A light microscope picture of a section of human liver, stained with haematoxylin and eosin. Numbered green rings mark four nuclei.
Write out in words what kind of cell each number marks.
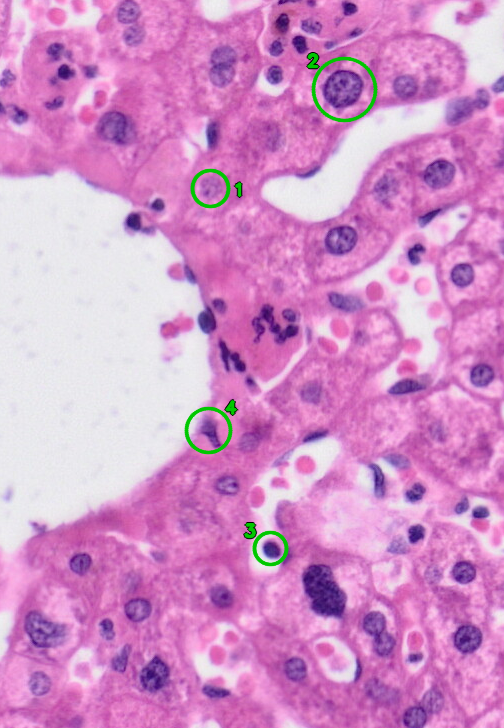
Cells 1 and 2 are hepatocytes. Cell 3 is a lymphocyte. Cell 4 is a fibroblast or stellate cell.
